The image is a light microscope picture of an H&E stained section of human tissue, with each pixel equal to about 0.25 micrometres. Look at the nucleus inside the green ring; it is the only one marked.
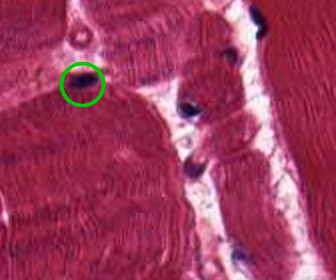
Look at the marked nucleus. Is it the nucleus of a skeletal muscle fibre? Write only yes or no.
yes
